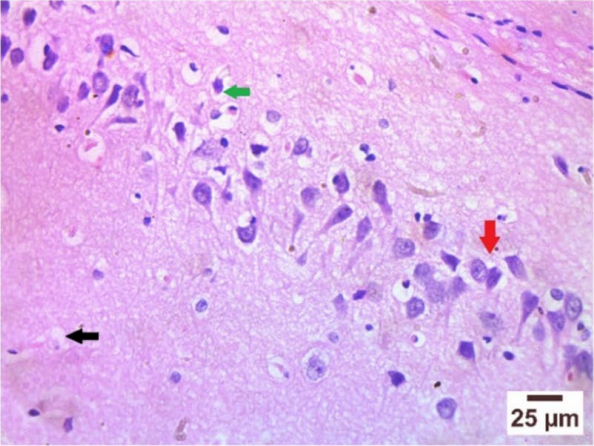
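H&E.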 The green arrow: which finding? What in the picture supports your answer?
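The marked cell is small and darkly stained. A clear halo surrounds the marked cell. On this evidence: degeneration and shrinkage.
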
